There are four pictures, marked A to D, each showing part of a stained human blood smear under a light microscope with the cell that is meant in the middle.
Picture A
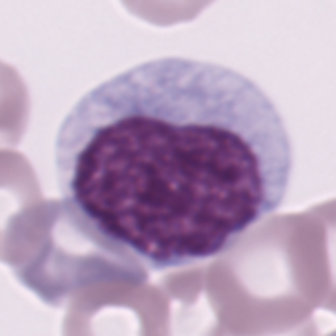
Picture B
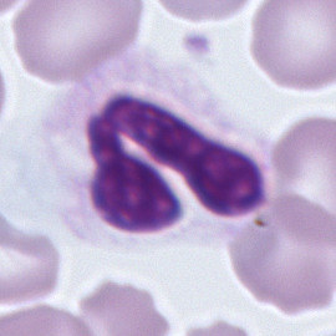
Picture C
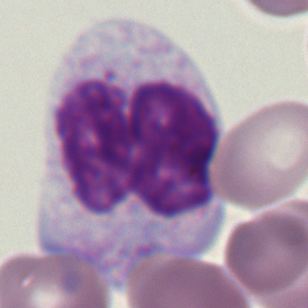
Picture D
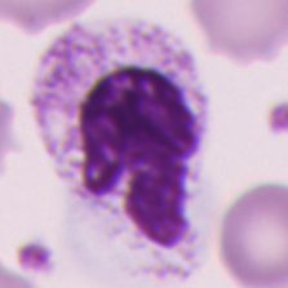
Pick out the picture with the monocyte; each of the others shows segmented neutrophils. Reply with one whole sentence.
Picture A shows the monocyte.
